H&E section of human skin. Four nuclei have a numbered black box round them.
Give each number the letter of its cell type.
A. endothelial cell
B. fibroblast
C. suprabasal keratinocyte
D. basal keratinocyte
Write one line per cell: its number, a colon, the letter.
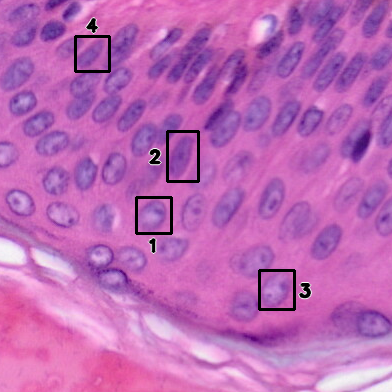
1: C
2: C
3: C
4: D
